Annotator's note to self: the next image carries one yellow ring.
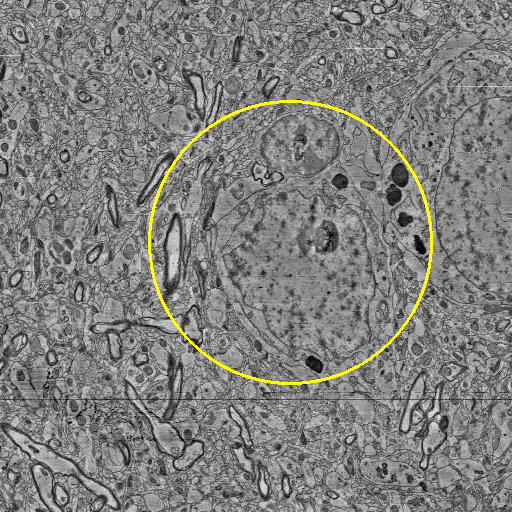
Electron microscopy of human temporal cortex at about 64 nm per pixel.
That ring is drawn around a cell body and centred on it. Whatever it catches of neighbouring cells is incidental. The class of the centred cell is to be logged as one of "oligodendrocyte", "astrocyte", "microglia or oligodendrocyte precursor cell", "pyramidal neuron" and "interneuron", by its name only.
interneuron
